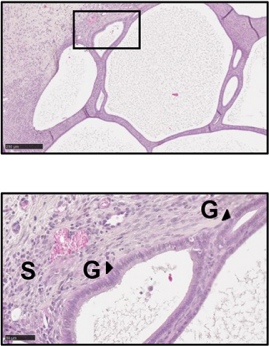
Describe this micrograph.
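The glands are lined by a single layer of cuboidal to low columnar epithelium with purple nuclei. The stroma between them is loose, with spindle-shaped cells and small vessels containing red blood cells, and the glandular lumens are largely empty.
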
